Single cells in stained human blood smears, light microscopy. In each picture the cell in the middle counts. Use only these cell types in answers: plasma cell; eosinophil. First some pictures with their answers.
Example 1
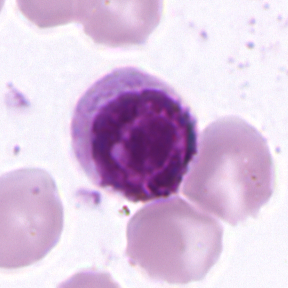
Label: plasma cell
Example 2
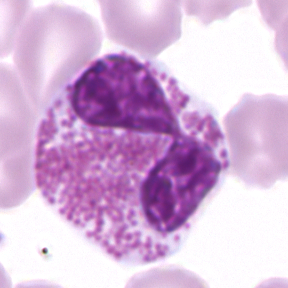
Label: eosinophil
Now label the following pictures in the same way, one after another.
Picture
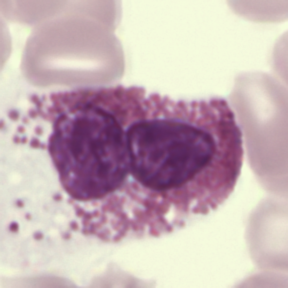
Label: eosinophil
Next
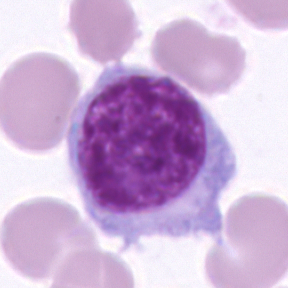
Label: plasma cell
